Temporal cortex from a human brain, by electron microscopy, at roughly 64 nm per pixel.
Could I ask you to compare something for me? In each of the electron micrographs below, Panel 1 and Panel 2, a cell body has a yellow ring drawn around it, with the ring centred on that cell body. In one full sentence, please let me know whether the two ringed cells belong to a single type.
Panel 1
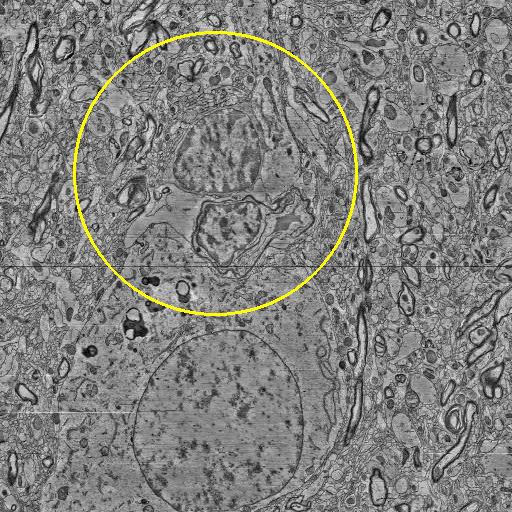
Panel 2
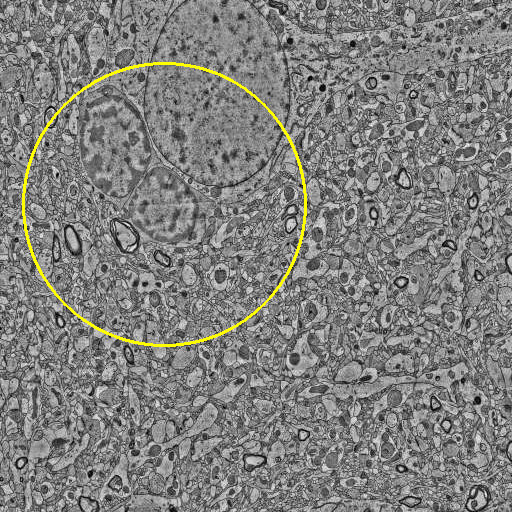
Yes, the two cells at the centres of the rings are of one type.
